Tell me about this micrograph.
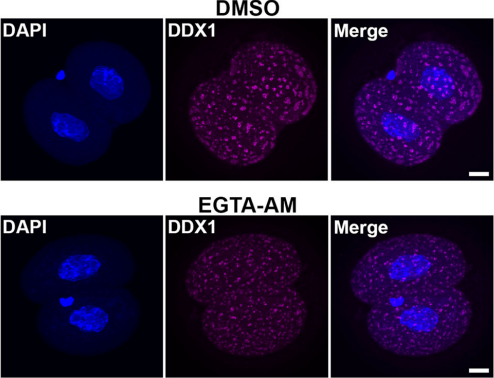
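Each image shows an early embryo made of two large, rounded blastomeres lying side by side. Each blastomere contains a single nucleus stained blue, with patches of brighter blue chromatin inside it. A small separate blue body lies between the two blastomeres near their junction. The magenta staining fills the cytoplasm of both cells as numerous discrete puncta and small clusters, spread throughout the cell. In the merged view the magenta puncta overlie the cytoplasm around the blue nuclei.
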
